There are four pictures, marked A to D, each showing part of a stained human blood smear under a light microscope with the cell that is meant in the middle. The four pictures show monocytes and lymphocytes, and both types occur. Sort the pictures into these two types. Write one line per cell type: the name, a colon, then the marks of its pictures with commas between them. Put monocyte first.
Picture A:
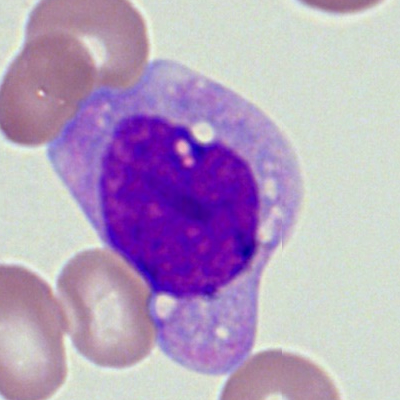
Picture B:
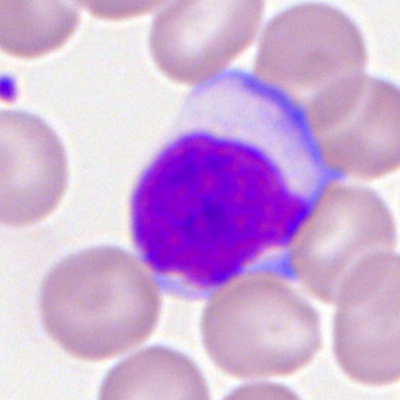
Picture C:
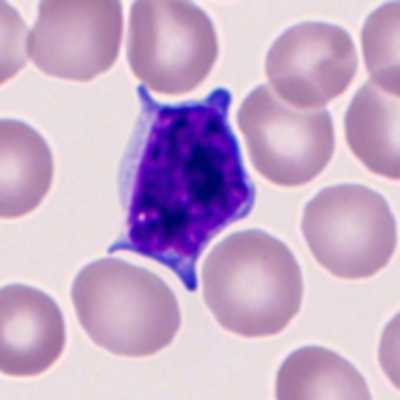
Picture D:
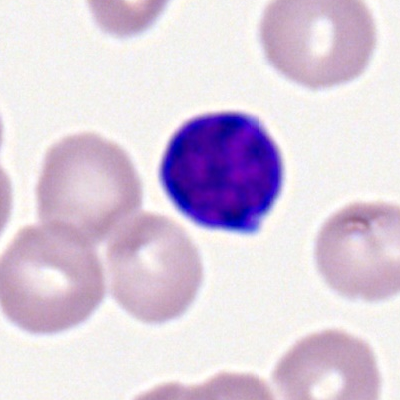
monocyte: A
lymphocyte: B, C, D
